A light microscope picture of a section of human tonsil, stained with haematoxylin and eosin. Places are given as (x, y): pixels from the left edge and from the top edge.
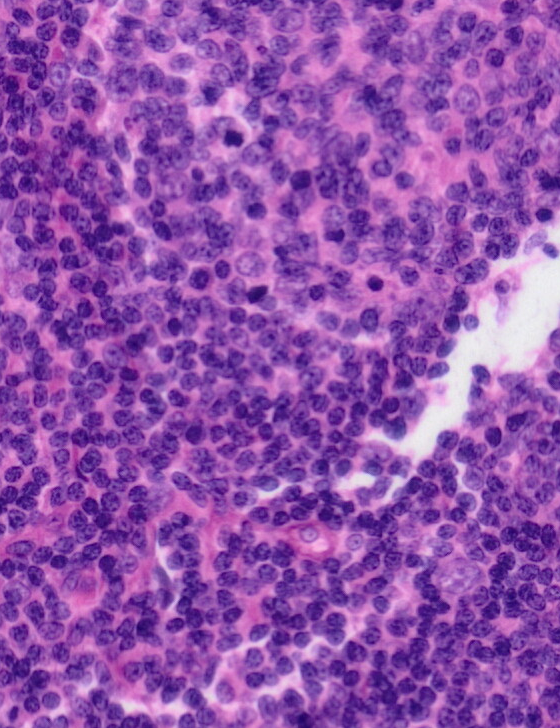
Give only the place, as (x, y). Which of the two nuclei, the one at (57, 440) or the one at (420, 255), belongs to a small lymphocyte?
(57, 440)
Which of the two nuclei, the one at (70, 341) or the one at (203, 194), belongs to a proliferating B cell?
(203, 194)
